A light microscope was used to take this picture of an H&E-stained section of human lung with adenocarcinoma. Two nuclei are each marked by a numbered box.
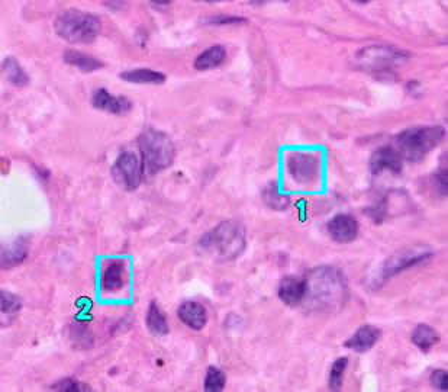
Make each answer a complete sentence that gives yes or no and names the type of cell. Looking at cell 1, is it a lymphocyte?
Yes, the cell at marker 1 is a lymphocyte.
